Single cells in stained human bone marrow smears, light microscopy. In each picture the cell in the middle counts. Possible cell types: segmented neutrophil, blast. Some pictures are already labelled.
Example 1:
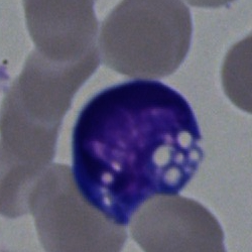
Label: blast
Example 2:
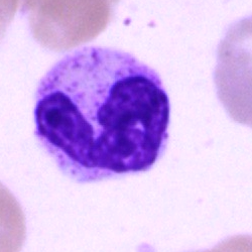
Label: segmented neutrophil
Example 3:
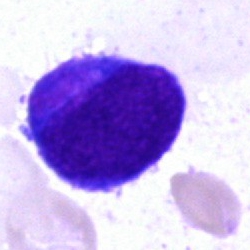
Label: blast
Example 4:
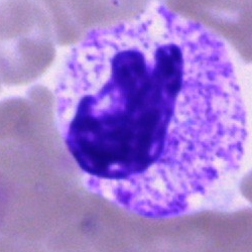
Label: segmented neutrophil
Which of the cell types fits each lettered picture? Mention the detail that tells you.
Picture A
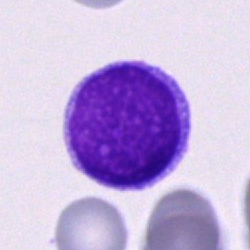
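blast. Reason: The chromatin is fine and evenly dispersed rather than clumped.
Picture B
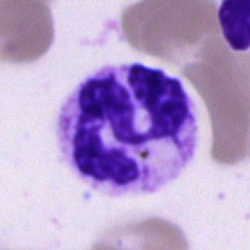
segmented neutrophil. Reason: The chromatin is dark purple and coarsely clumped.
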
